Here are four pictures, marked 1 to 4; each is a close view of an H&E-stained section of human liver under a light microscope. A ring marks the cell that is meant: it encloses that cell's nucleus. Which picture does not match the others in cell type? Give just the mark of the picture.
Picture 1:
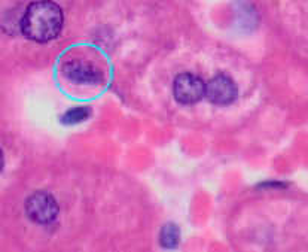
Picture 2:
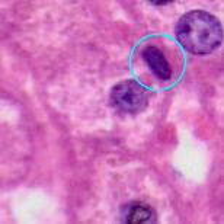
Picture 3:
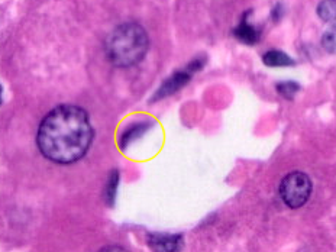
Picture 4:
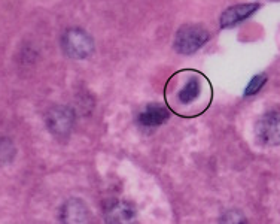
4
